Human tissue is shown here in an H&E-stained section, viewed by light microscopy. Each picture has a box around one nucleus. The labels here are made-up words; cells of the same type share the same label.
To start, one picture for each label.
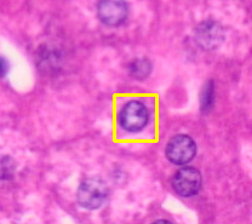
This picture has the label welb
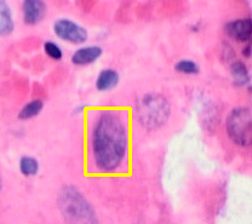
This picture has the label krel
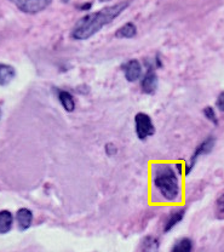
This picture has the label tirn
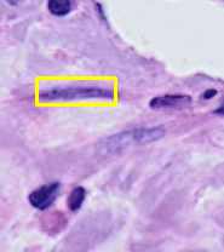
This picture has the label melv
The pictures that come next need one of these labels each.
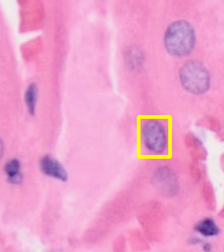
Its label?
krel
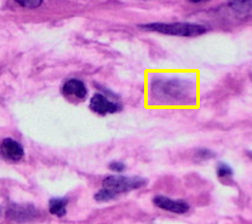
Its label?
melv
